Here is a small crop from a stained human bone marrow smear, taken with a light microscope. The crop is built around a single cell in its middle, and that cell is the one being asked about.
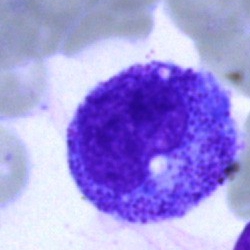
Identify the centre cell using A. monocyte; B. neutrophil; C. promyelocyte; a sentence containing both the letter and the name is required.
Of the choices given, option C is right, as the central cell is a promyelocyte.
